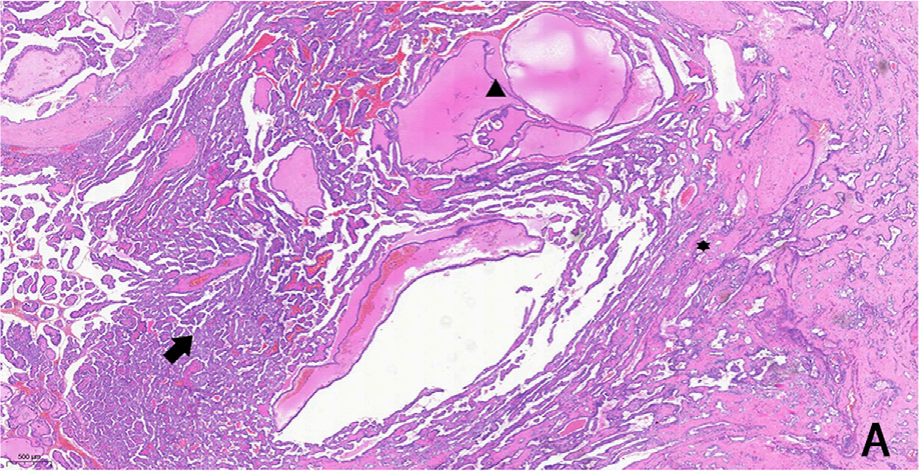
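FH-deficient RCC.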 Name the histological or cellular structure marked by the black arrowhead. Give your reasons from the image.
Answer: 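The arrowhead lies in a large rounded space filled with pale pink material. The space is lined by a thin rim of tissue.
Answer: cystic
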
